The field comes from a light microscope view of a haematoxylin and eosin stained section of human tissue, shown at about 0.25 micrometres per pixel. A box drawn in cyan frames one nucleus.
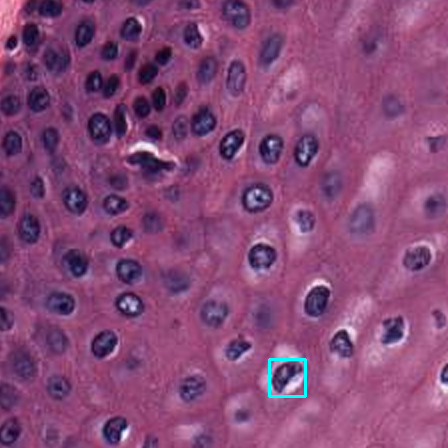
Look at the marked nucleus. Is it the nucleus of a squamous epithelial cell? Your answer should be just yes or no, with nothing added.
yes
